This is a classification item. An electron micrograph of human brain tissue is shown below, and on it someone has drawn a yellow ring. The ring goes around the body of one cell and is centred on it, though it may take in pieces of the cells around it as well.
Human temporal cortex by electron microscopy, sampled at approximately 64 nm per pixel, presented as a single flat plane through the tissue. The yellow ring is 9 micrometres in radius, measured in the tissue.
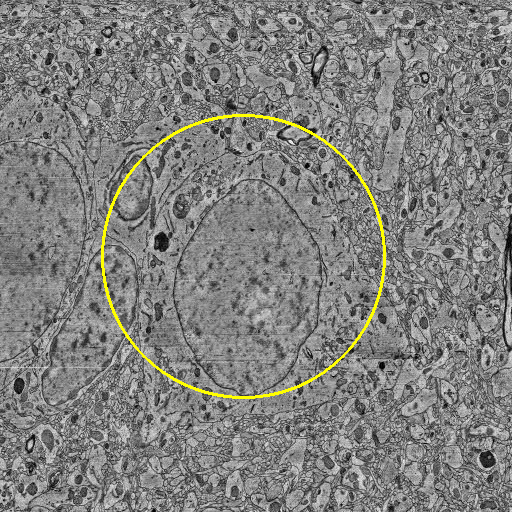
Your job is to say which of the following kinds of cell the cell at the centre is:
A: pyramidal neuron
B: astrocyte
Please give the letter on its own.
A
